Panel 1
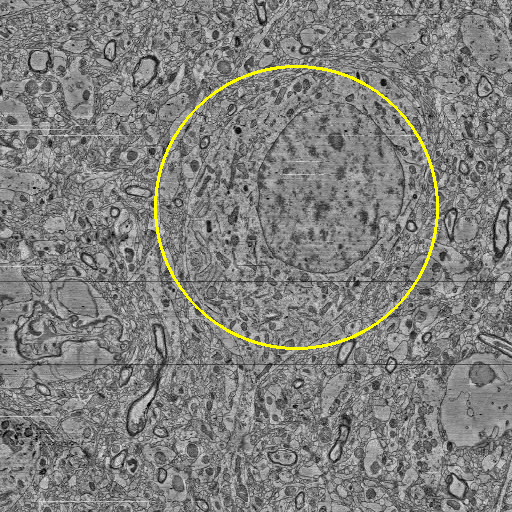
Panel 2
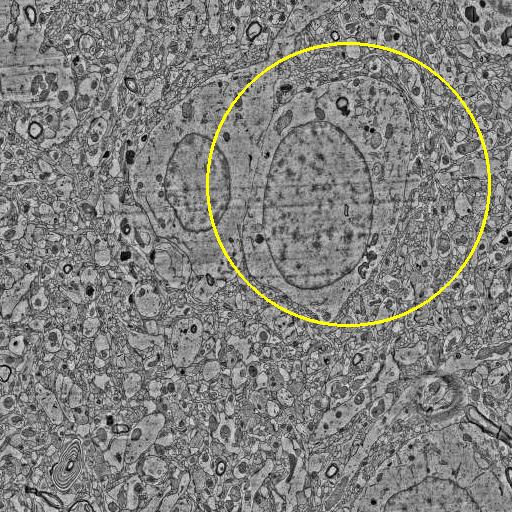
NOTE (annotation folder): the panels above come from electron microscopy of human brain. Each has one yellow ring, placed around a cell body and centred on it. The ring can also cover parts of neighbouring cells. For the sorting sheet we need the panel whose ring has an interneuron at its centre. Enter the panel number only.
1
